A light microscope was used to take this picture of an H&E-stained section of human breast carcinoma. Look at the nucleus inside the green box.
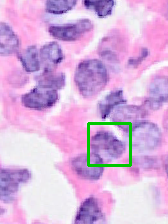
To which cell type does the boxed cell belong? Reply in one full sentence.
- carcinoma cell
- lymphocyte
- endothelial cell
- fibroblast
The classification of the boxed cell is as a carcinoma cell.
